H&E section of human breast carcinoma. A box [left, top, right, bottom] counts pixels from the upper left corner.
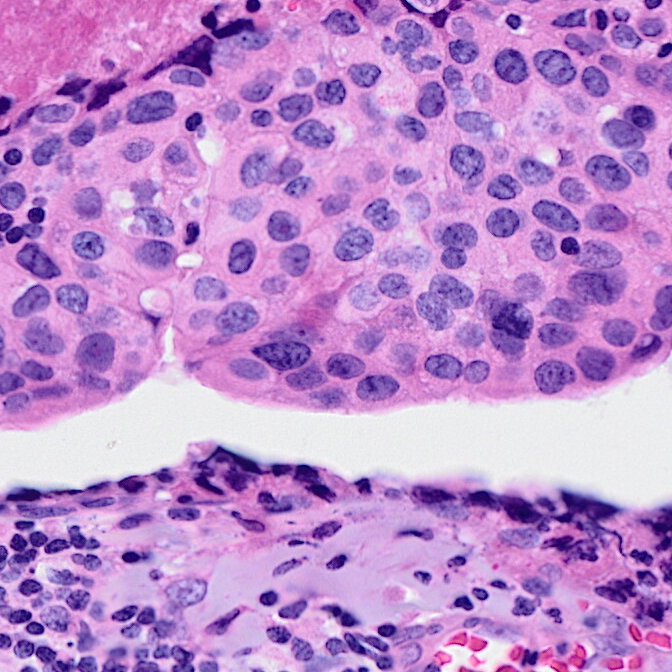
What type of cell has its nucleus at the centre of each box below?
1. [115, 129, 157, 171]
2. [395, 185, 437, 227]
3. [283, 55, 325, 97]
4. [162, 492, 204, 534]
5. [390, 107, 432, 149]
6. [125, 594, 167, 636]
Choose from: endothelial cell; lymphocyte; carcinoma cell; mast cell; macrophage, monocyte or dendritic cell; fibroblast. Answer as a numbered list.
1. carcinoma cell
2. carcinoma cell
3. carcinoma cell
4. mast cell
5. carcinoma cell
6. lymphocyte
